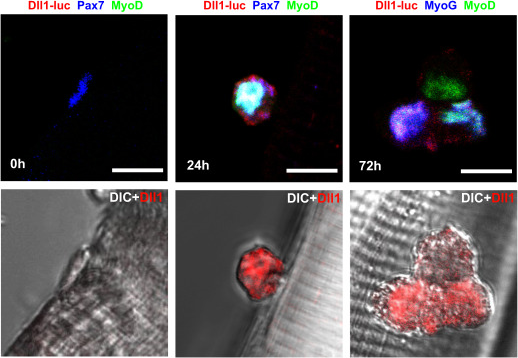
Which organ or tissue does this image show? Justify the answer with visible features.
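Myofibers. The grey images show a broad cylindrical fiber with regular cross-striations. Small round cells sit on the surface of the striated fiber.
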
